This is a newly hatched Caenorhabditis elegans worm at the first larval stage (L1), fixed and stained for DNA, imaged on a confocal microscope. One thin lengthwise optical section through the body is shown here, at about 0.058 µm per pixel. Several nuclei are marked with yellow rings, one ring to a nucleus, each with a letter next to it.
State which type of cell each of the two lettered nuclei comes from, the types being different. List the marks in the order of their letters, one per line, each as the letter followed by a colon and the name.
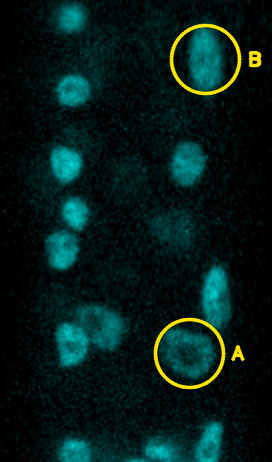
A: intestinal cell
B: body wall muscle cell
